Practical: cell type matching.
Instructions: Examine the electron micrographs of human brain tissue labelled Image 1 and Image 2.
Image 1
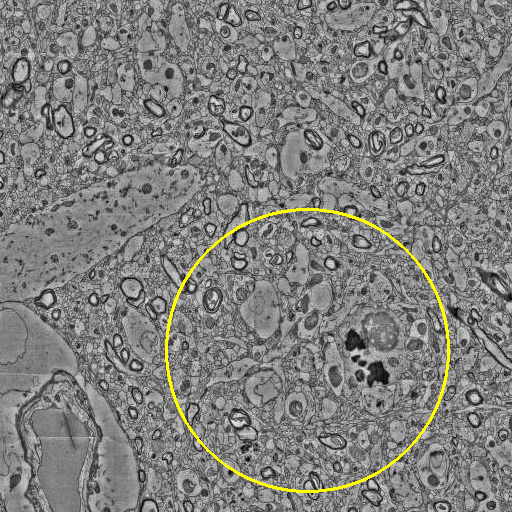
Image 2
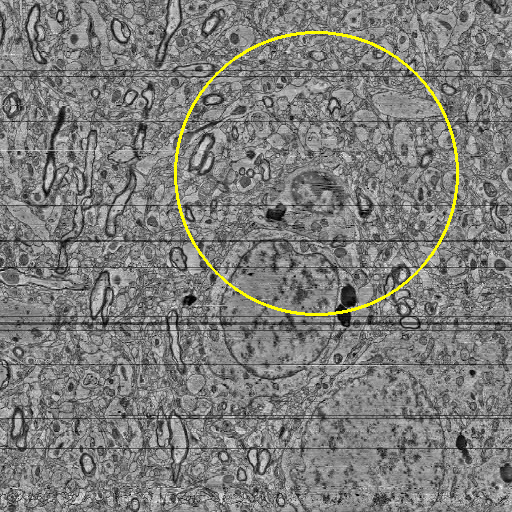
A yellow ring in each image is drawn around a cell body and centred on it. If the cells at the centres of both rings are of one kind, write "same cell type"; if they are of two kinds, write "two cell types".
same cell type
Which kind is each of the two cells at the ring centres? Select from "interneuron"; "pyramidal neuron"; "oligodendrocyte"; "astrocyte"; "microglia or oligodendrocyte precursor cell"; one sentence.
The cell at the ring centre is an oligodendrocyte in both pictures.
